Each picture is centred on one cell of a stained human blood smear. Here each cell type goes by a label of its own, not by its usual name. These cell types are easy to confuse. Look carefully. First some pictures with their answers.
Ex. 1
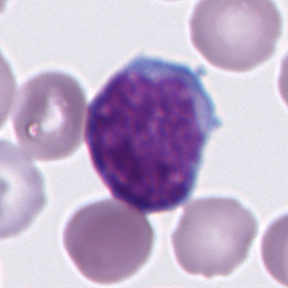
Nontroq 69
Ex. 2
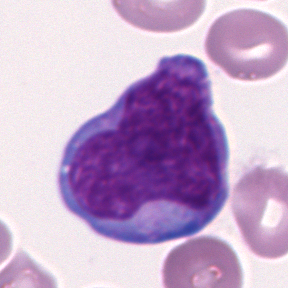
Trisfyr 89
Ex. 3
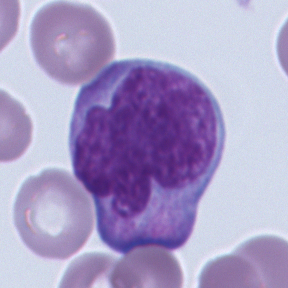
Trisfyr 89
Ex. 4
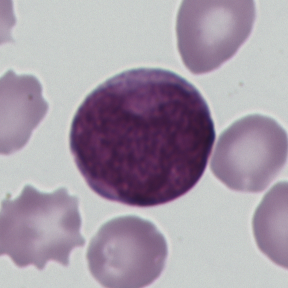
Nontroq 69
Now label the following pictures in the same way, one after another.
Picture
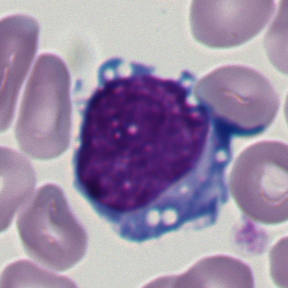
Nontroq 69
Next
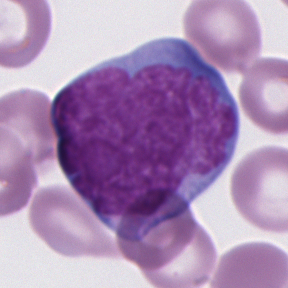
Nontroq 69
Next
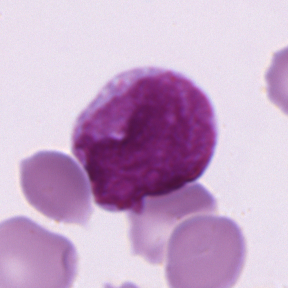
Nontroq 69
